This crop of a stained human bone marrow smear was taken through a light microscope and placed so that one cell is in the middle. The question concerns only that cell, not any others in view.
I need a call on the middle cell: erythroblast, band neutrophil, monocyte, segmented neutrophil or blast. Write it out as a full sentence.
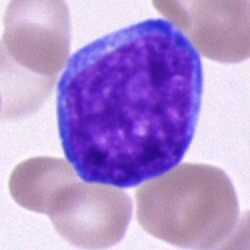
The identification for the central cell is a blast.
